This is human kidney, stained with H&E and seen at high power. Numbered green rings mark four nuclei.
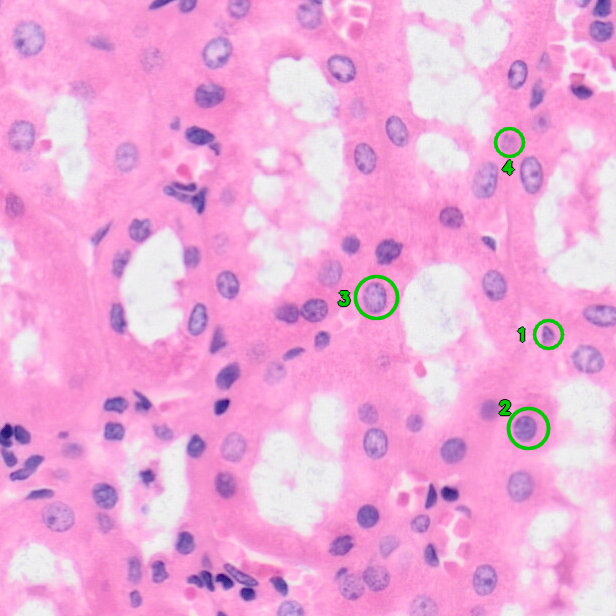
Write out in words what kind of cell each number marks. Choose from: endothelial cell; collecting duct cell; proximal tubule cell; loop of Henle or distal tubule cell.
Cell 1 is an endothelial cell. Cells 2, 3 and 4 are proximal tubule cells.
